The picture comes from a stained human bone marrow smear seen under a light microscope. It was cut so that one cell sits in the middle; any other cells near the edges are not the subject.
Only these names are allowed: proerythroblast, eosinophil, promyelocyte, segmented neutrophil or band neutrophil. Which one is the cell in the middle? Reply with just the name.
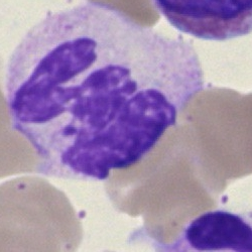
segmented neutrophil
